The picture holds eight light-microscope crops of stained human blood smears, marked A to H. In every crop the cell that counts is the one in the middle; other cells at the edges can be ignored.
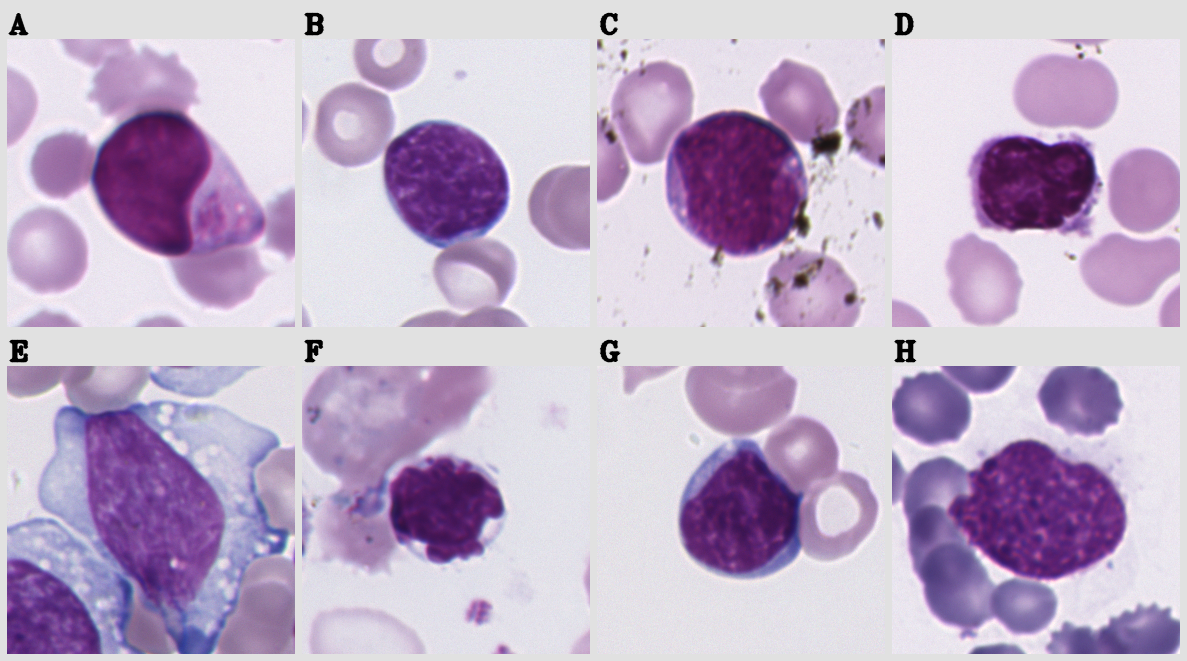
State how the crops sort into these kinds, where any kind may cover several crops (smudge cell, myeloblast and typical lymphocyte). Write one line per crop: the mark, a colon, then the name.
A: myeloblast
B: typical lymphocyte
C: myeloblast
D: typical lymphocyte
E: myeloblast
F: typical lymphocyte
G: typical lymphocyte
H: smudge cell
